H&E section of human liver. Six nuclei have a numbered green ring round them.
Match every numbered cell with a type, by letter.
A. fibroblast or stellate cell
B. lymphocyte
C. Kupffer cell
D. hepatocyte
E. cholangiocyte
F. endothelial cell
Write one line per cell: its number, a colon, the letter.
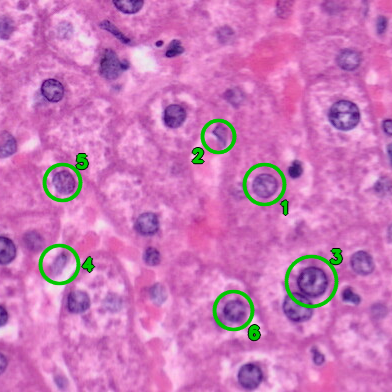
1: D
2: F
3: D
4: C
5: D
6: D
